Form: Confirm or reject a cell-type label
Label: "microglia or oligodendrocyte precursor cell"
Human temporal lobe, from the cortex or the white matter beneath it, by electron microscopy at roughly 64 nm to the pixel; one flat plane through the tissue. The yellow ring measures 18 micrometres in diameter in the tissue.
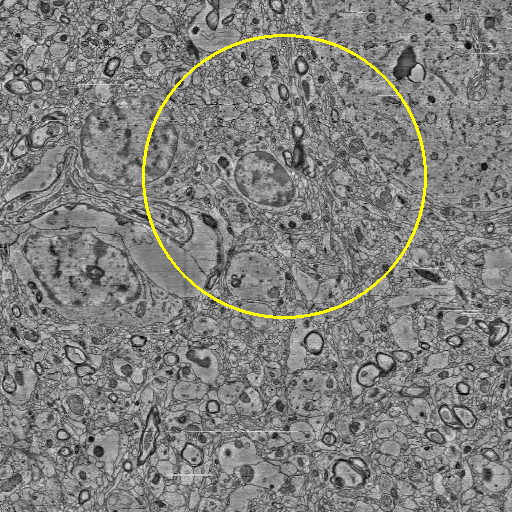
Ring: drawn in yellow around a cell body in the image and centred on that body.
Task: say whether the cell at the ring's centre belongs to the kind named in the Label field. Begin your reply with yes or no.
Yes, it belongs to that kind.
